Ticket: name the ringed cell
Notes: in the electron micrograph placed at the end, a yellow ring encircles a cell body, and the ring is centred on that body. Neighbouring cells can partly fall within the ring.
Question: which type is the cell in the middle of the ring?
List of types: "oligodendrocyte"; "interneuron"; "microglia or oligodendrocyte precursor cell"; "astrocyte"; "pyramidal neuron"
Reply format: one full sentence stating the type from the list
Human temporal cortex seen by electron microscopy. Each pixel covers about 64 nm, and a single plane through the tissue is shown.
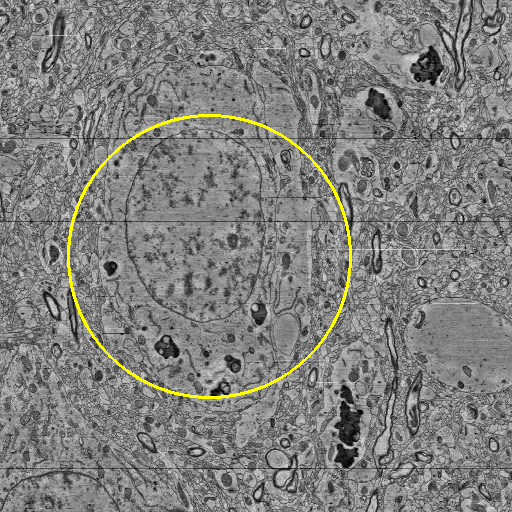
The cell sitting at the centre of the yellow ring is a pyramidal neuron.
